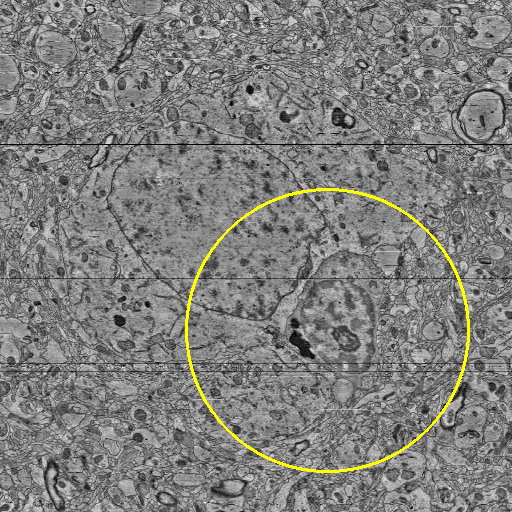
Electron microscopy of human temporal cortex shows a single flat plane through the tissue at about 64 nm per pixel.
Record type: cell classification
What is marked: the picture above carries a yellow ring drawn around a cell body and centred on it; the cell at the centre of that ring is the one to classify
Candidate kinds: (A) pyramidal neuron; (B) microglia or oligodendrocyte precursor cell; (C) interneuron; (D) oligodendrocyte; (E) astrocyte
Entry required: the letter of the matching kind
D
